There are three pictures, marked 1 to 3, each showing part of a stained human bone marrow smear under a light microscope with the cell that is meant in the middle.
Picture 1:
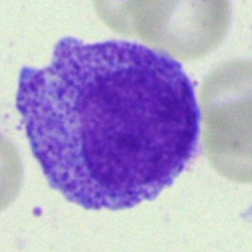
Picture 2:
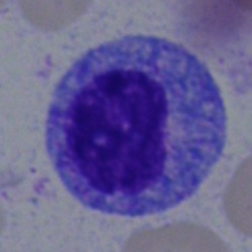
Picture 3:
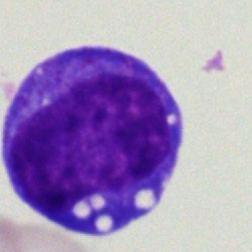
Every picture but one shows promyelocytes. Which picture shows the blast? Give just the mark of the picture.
3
